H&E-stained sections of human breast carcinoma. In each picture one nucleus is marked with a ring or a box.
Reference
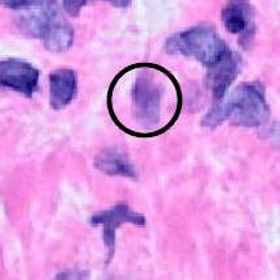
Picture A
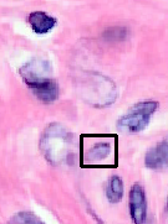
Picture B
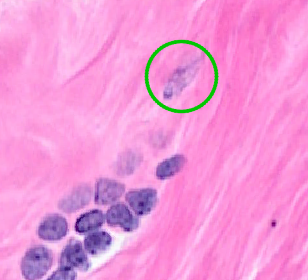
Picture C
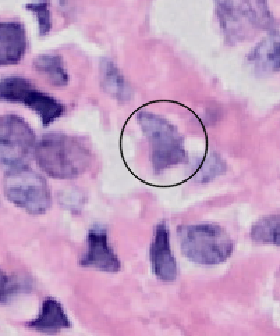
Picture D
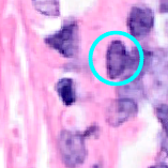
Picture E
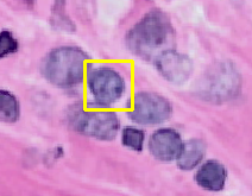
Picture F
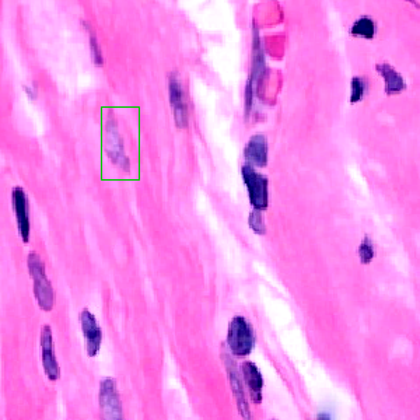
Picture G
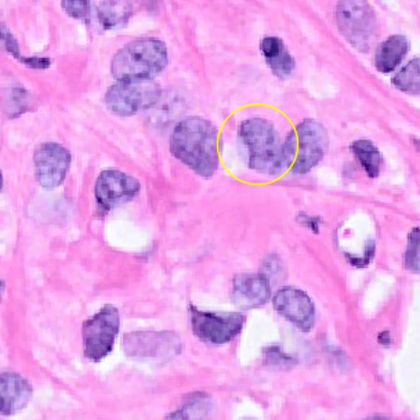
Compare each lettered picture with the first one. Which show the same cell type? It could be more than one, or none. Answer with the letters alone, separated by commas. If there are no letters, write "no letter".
B, F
